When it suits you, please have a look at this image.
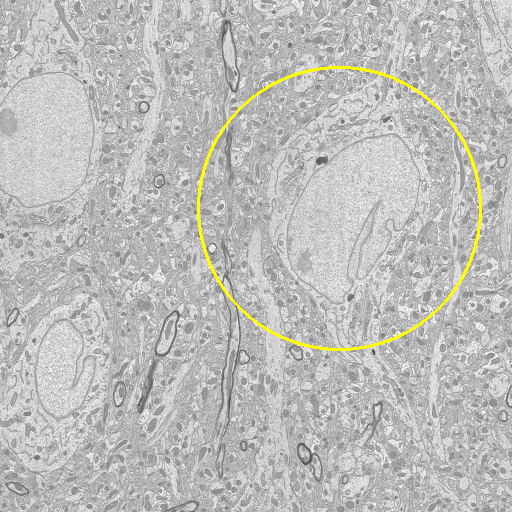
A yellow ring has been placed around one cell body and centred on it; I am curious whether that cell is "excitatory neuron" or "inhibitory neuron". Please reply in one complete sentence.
The ringed cell, an inhibitory neuron, has its body at the centre of the yellow ring.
